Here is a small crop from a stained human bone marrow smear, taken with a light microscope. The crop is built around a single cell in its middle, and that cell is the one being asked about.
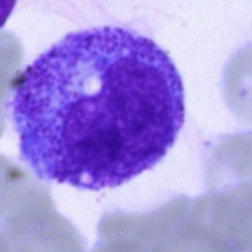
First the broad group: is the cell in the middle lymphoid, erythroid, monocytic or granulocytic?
granulocytic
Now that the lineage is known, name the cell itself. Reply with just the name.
promyelocyte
